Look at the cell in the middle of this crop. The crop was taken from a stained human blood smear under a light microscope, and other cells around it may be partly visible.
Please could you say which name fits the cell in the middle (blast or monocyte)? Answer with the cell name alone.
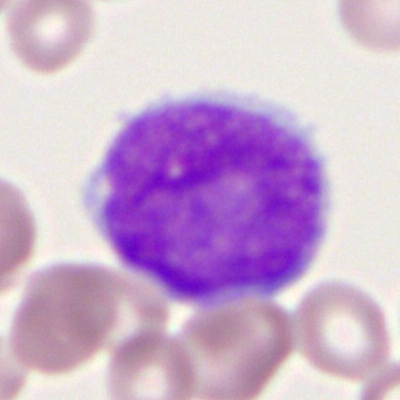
monocyte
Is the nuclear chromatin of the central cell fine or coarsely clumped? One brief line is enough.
The chromatin pattern is fine and free of coarse clumps.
